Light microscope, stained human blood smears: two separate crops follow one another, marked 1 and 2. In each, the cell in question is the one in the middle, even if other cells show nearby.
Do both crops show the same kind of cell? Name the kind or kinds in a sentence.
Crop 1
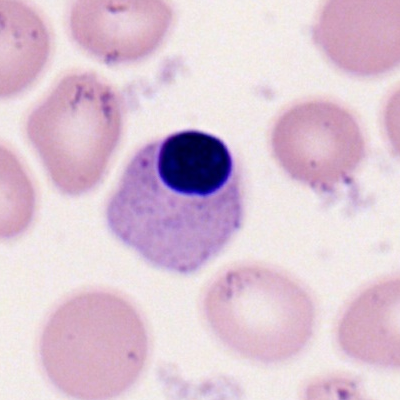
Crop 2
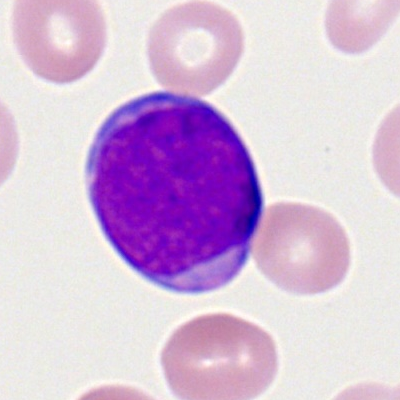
No, crop 2 centres on a myeloblast, and crop 1 centres on a normoblast.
